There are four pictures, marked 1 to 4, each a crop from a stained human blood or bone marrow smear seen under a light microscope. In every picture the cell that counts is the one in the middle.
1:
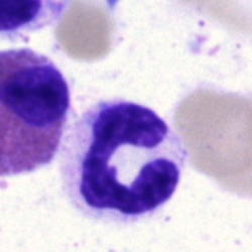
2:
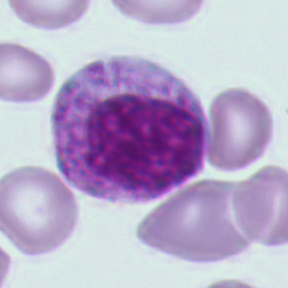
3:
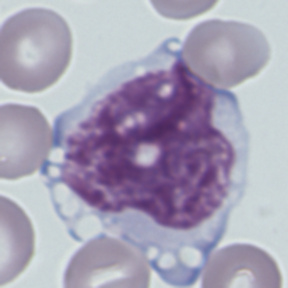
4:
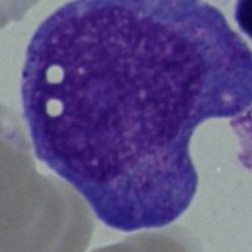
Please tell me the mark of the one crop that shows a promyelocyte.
4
